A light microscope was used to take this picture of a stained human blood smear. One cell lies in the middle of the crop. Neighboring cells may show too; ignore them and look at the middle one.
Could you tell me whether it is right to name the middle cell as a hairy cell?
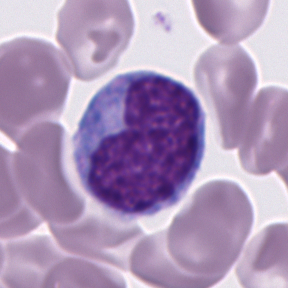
no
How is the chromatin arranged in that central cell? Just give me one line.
If you check the nucleus, you will find the chromatin coarsely clumped.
